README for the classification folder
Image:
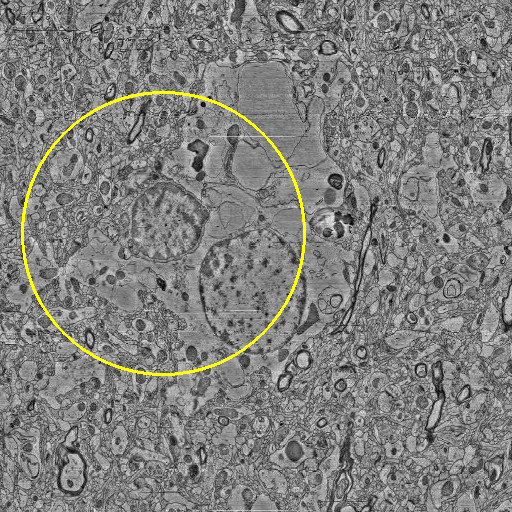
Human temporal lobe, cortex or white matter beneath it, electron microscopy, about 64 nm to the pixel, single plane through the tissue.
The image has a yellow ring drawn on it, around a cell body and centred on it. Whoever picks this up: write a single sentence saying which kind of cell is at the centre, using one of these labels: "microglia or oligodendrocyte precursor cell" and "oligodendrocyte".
This cell body is that of an oligodendrocyte.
